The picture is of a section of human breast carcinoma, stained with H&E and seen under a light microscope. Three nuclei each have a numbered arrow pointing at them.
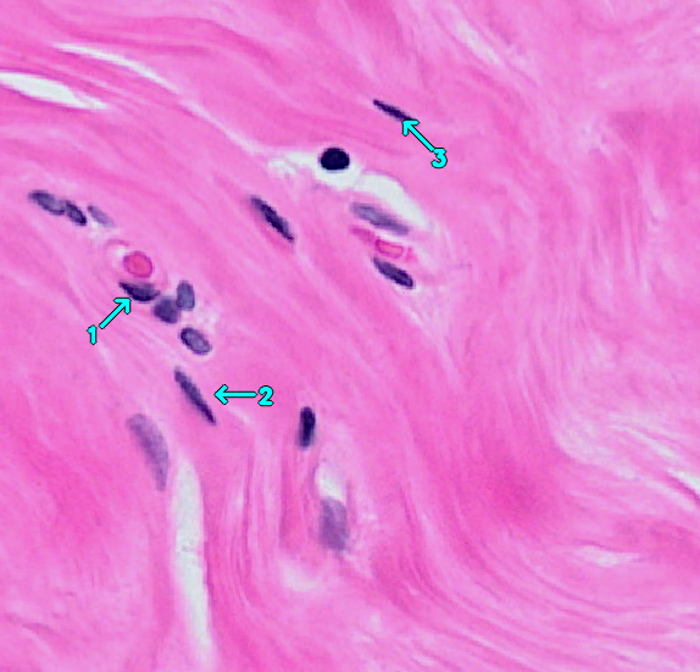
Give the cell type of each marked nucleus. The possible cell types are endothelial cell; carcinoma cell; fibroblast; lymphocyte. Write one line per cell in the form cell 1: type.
cell 1: endothelial cell
cell 2: fibroblast
cell 3: fibroblast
